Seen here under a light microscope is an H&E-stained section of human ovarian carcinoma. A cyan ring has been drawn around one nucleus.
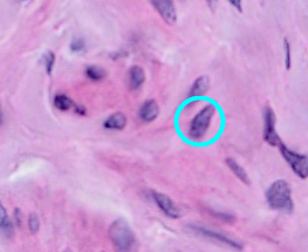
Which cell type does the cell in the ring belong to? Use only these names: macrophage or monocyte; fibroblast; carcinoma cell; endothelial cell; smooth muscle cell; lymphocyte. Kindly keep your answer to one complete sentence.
Students should answer that the cell in the ring is a smooth muscle cell.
